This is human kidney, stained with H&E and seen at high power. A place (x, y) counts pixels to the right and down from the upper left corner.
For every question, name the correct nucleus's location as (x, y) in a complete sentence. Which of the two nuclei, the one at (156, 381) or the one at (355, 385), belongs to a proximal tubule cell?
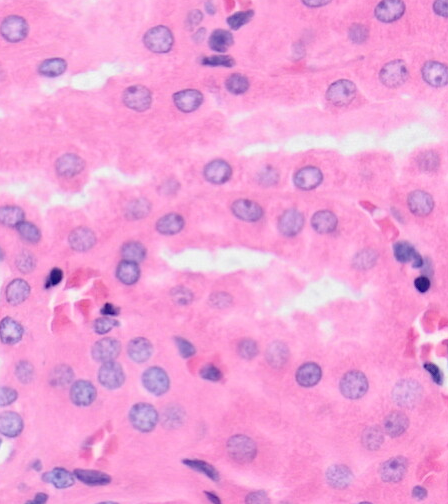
The nucleus of a proximal tubule cell is the one found at (355, 385), not the other.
